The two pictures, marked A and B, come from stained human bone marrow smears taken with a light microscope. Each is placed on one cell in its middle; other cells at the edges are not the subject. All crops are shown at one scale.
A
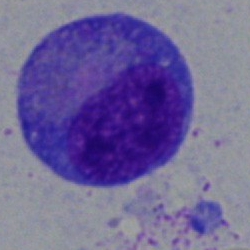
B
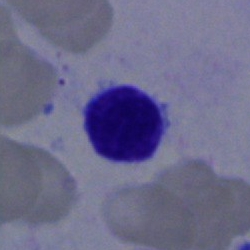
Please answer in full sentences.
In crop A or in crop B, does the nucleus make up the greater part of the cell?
In crop B the nucleus takes up the larger part of its cell.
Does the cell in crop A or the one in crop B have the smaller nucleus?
The nucleus in crop B is smaller; the one in crop A has about 2.5 times its area.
